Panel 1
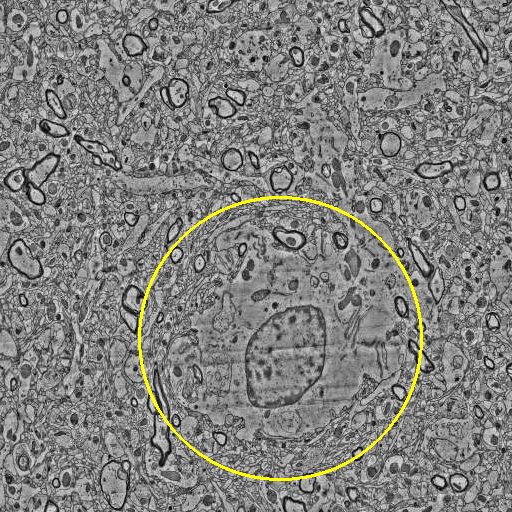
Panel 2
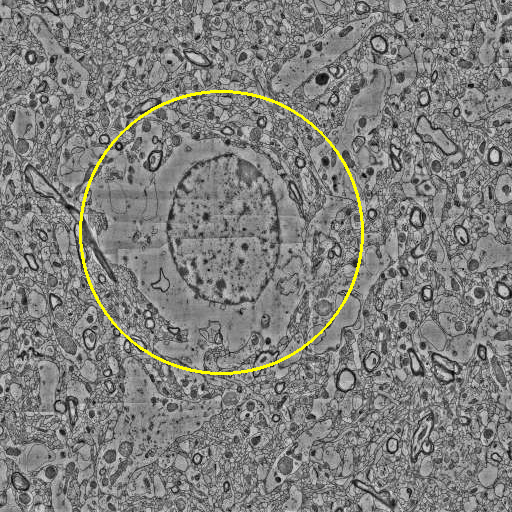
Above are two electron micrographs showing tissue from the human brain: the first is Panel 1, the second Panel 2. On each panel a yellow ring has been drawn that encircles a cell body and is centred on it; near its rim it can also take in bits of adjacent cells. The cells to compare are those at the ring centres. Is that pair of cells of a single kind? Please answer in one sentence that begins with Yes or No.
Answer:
Yes, the ring-centred cells of Panel 1 and Panel 2 belong to one kind.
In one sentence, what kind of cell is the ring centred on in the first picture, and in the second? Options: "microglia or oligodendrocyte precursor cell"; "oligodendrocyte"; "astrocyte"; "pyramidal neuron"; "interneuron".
Each one of the two ringed cells is an astrocyte.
